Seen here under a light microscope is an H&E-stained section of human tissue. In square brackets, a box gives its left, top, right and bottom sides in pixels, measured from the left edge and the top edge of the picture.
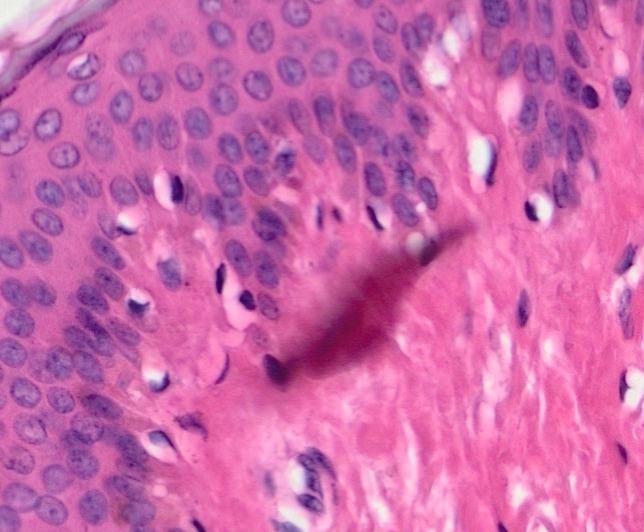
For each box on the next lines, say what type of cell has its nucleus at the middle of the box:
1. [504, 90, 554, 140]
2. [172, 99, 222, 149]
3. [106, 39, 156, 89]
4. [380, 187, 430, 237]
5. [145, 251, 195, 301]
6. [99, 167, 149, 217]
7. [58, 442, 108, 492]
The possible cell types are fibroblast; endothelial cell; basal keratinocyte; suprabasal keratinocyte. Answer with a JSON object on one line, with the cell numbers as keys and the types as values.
{"1": "basal keratinocyte", "2": "suprabasal keratinocyte", "3": "suprabasal keratinocyte", "4": "basal keratinocyte", "5": "fibroblast", "6": "basal keratinocyte", "7": "suprabasal keratinocyte"}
